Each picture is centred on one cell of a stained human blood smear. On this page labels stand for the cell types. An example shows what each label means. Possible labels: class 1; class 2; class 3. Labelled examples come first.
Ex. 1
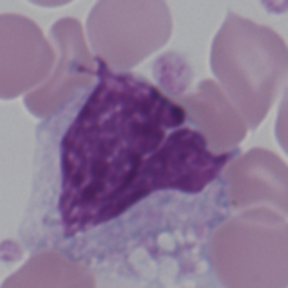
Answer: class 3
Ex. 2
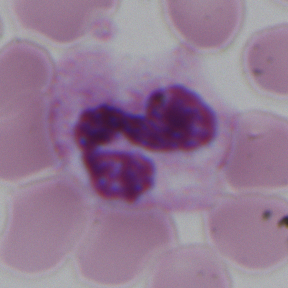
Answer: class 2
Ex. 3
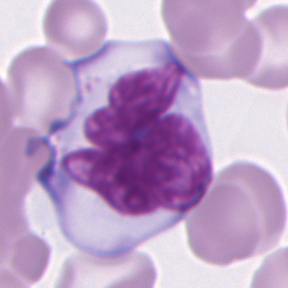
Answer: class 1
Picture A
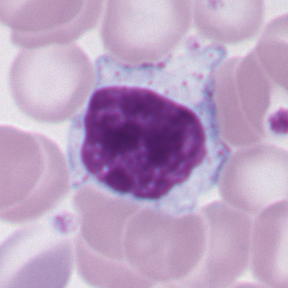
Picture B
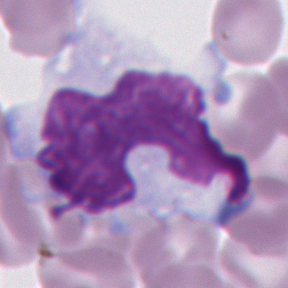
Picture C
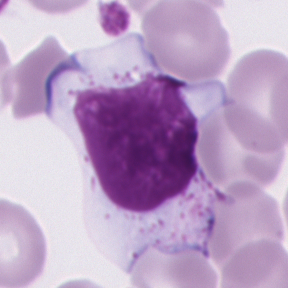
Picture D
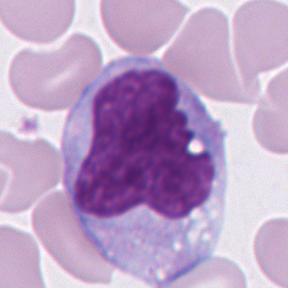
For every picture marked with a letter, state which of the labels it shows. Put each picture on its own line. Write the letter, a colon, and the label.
A: class 1
B: class 3
C: class 1
D: class 3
